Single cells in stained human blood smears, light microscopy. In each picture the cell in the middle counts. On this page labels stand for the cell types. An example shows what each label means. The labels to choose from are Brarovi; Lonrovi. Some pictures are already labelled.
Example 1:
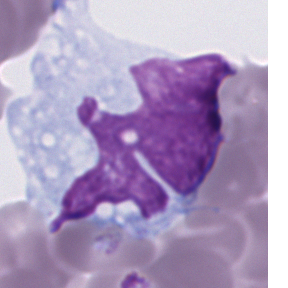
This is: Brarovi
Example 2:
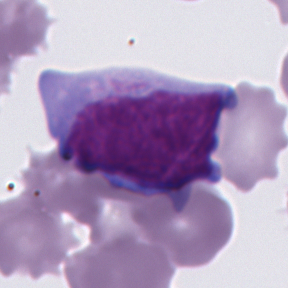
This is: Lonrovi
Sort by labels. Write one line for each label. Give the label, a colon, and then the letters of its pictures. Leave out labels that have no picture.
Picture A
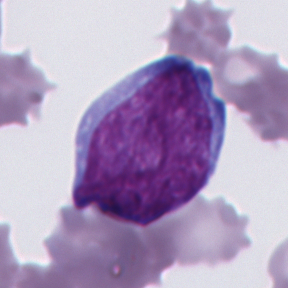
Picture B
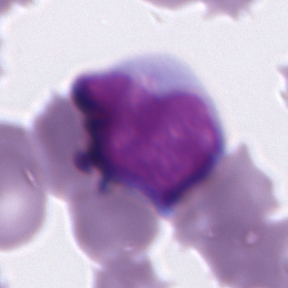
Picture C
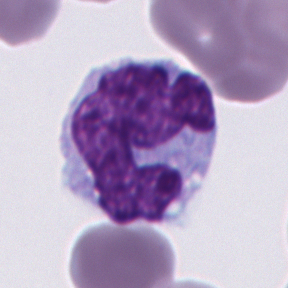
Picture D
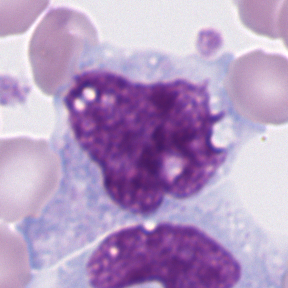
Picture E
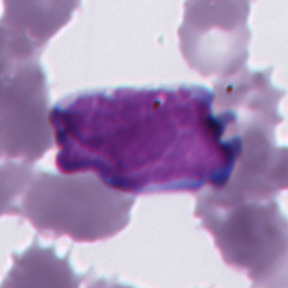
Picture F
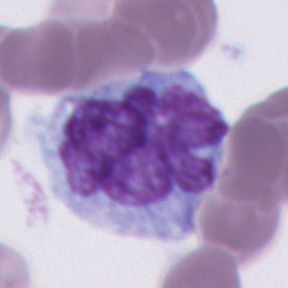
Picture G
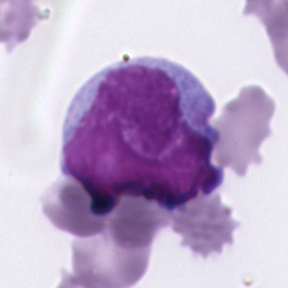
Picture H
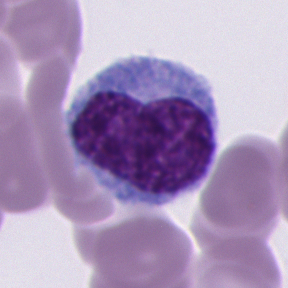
Brarovi: C, D, F, H
Lonrovi: A, B, E, G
